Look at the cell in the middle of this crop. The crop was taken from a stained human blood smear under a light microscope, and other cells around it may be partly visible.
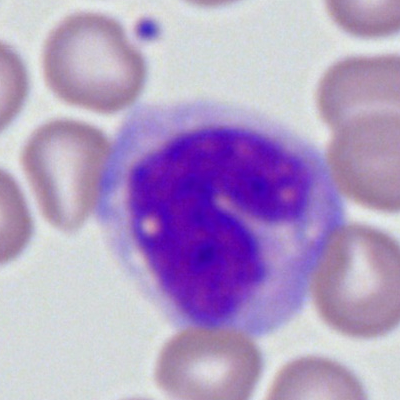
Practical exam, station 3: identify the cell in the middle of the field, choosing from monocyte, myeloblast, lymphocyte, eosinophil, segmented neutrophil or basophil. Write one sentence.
This crop's central cell is a monocyte.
